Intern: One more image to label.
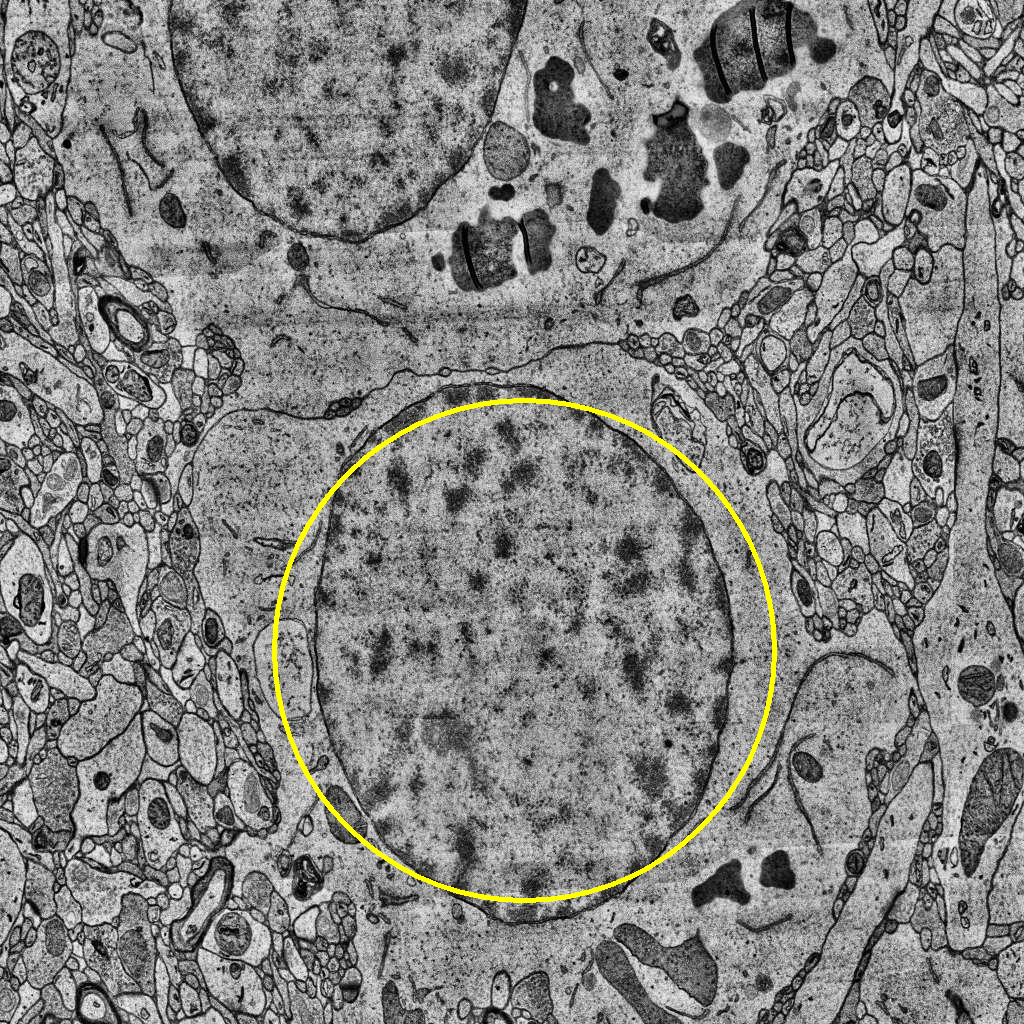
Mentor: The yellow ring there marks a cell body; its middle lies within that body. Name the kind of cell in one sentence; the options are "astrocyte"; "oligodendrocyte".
The ring marks the cell body of an astrocyte.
